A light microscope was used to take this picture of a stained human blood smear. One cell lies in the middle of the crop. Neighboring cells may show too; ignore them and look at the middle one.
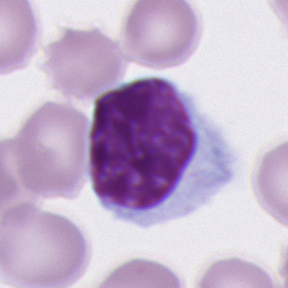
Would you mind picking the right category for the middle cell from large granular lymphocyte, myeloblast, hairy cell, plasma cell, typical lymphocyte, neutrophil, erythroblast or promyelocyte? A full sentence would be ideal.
The cell the crop is centered on is a typical lymphocyte.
